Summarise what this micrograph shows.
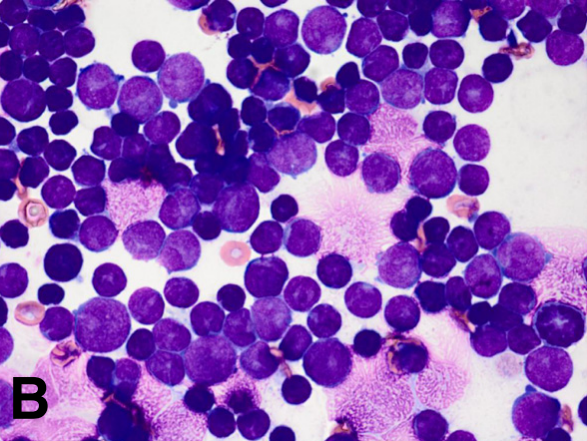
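The cells are round, with large purple nuclei and only a thin rim of blue cytoplasm, giving a high nuclear to cytoplasmic ratio. The chromatin is finely dispersed in the larger cells, and some show nucleoli. Smaller, more darkly stained cells are mixed among them, and pink granular background material lies between the cells.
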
